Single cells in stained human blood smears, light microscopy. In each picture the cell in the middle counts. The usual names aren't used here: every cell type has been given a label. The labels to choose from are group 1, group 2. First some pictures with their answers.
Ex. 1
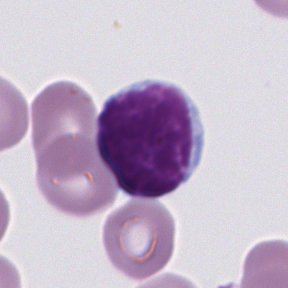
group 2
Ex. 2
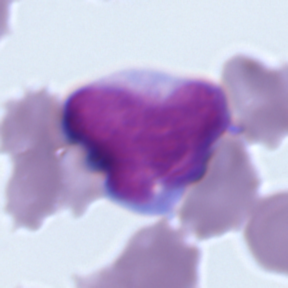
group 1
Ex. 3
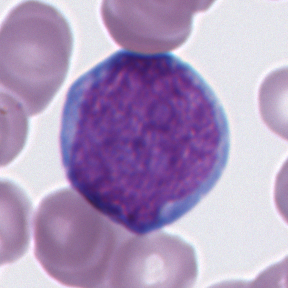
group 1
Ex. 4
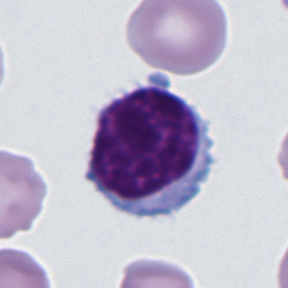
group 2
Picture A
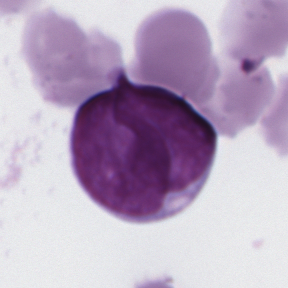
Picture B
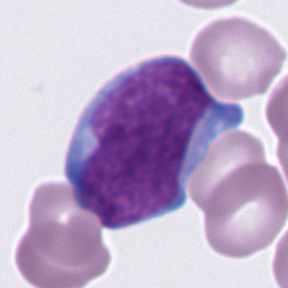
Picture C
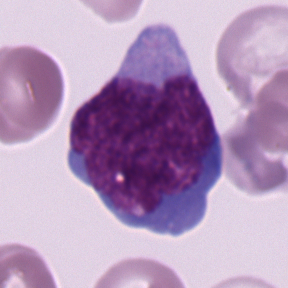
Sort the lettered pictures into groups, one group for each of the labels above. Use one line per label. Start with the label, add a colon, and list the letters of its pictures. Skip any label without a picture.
group 1: A, B, C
